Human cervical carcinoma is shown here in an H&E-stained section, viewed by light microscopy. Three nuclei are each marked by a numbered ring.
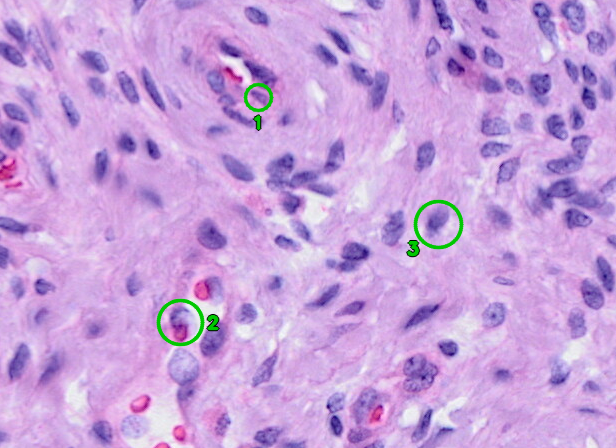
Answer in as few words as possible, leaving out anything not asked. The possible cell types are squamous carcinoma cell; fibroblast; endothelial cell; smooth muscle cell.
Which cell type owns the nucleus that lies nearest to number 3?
fibroblast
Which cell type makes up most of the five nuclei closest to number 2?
endothelial cell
